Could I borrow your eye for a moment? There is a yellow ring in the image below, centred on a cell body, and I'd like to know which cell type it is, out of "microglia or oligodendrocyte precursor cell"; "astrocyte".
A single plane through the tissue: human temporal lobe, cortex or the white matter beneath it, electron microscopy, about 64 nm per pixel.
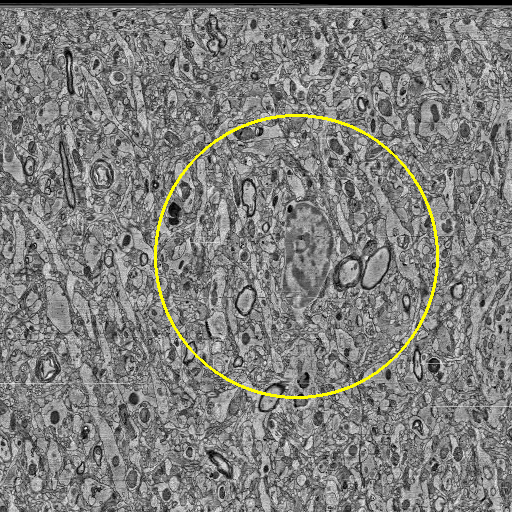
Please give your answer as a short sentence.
The cell body at the centre is that of a microglial cell or oligodendrocyte precursor cell.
